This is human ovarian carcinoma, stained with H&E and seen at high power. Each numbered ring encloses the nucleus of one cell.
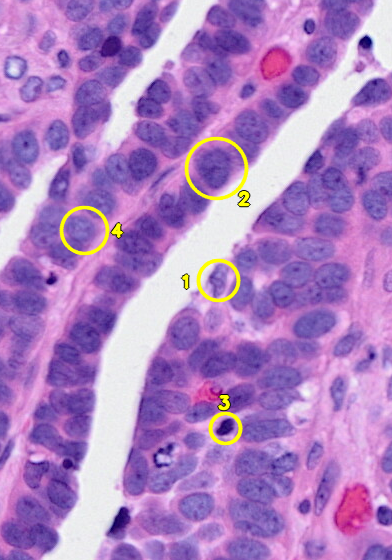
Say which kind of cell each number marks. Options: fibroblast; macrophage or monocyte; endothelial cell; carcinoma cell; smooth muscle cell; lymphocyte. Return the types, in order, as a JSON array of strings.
["macrophage or monocyte", "carcinoma cell", "lymphocyte", "carcinoma cell"]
